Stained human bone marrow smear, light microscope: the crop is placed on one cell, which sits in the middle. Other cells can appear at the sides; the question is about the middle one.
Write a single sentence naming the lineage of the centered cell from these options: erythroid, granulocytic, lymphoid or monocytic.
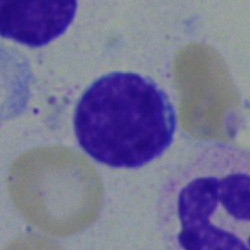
In terms of lineage, the cell at the center is lymphoid.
